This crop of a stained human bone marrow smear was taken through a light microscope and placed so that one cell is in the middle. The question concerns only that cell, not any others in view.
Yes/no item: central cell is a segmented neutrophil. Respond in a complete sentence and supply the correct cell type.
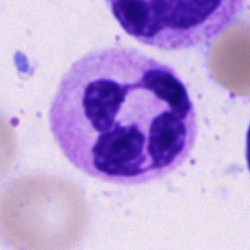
Yes, the cell lying in the middle is a segmented neutrophil.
